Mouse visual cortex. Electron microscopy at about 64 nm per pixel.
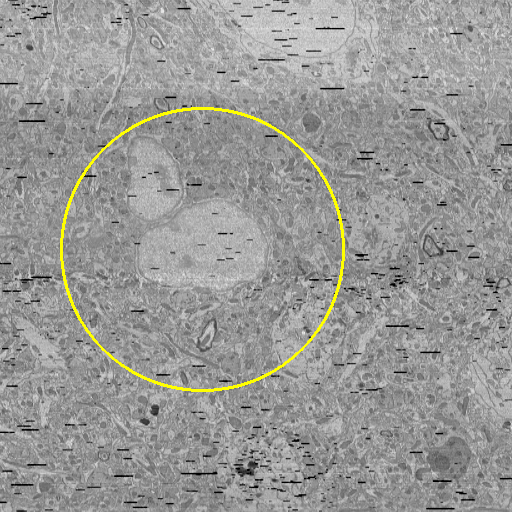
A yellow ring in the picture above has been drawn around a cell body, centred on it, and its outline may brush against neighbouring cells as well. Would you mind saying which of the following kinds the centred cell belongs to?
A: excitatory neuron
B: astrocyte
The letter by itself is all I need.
B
